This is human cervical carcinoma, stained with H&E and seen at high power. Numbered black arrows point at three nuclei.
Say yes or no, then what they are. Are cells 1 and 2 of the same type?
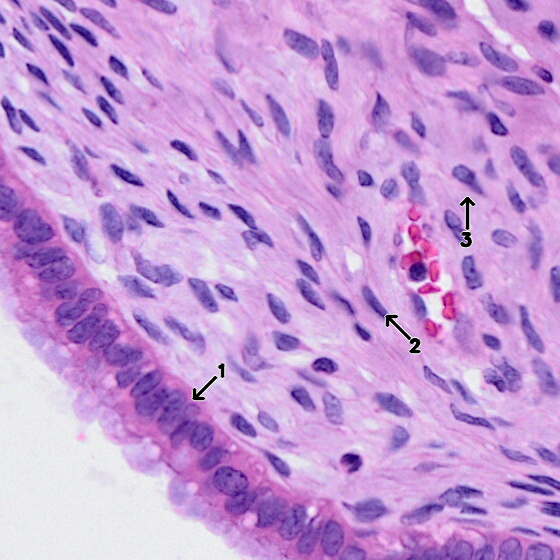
No, cell 1 is a secretory epithelial cell and cell 2 is a fibroblast.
